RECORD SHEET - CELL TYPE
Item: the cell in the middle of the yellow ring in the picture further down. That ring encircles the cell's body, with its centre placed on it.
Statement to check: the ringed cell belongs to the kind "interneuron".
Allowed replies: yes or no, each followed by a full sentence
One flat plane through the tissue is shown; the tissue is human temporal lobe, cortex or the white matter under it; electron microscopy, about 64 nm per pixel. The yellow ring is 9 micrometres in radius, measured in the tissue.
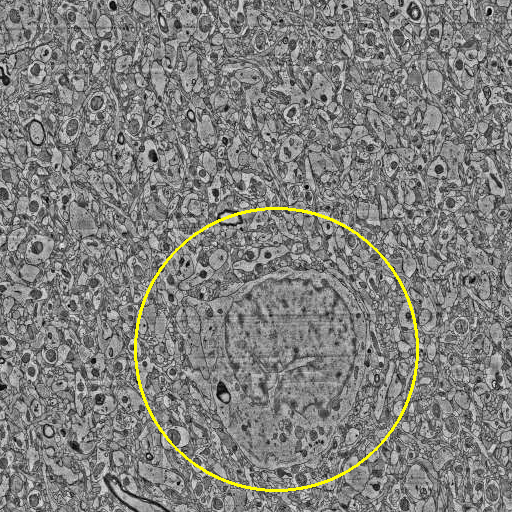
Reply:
Yes, the cell held at the centre of the ring in the picture is of that kind.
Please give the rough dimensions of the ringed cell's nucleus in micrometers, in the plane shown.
In this plane the nucleus measures roughly 9 micrometres across.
